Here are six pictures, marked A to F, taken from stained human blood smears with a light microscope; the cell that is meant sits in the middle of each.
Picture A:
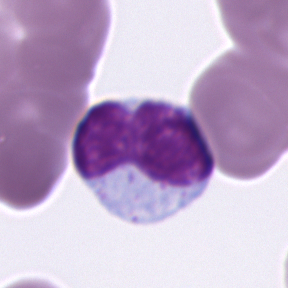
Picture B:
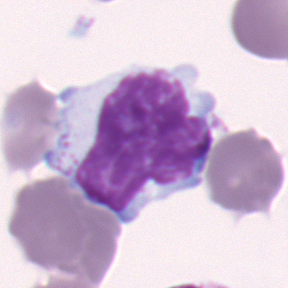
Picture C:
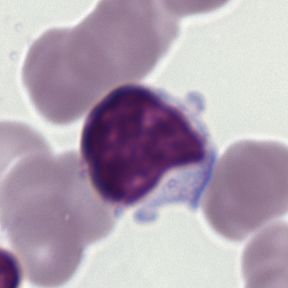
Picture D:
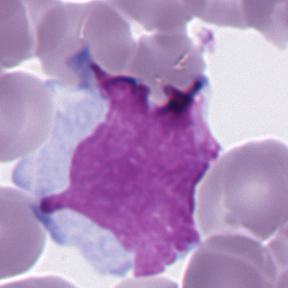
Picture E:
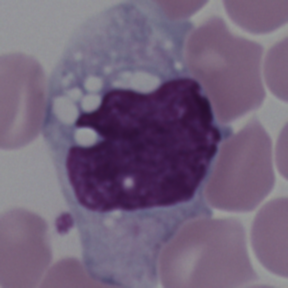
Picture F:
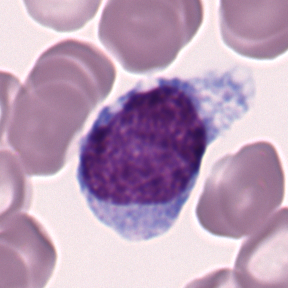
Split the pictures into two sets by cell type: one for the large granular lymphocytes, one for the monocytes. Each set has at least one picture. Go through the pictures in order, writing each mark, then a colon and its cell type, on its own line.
A: large granular lymphocyte
B: large granular lymphocyte
C: large granular lymphocyte
D: monocyte
E: monocyte
F: monocyte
